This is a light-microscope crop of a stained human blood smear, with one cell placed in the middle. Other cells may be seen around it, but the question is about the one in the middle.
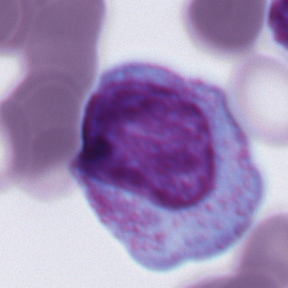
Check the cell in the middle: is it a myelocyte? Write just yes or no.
yes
